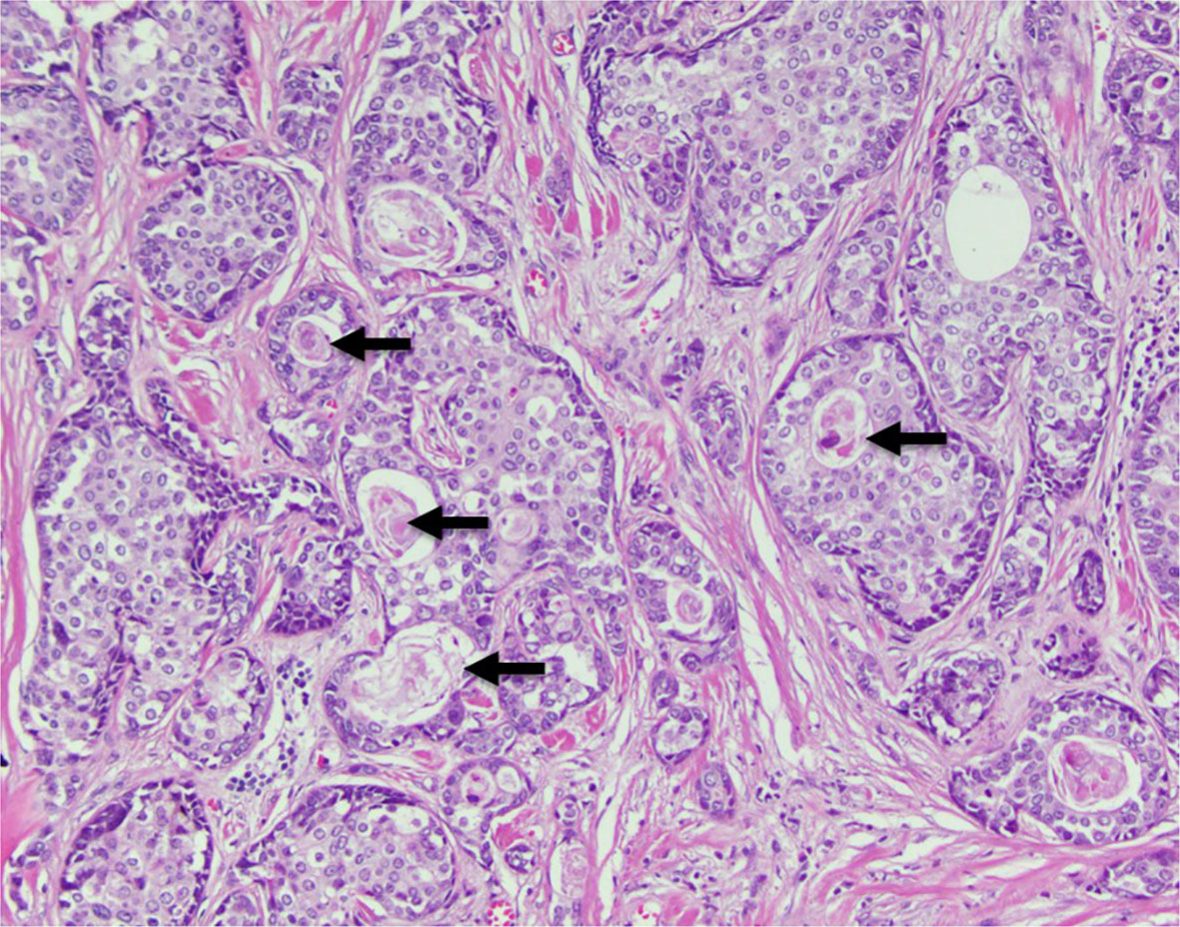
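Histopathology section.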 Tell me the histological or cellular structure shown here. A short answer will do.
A: Nested growth pattern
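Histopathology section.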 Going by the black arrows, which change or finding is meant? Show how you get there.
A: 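The arrows point to pale to pink lamellated material in the centres of the cell nests. This material lies within the nests and is sharply set off from the surrounding cells. On this evidence: abrupt keratinization.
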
